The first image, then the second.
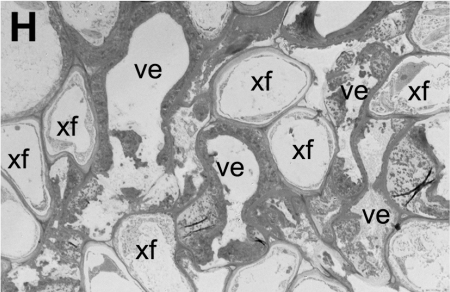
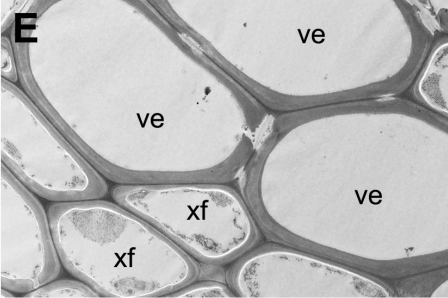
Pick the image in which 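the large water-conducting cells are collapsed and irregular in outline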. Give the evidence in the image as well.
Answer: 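First image: the large cells labelled ve are buckled with wavy, irregular walls. Second image: the large cells labelled ve are round to oval with smooth, even walls. So: the first image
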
